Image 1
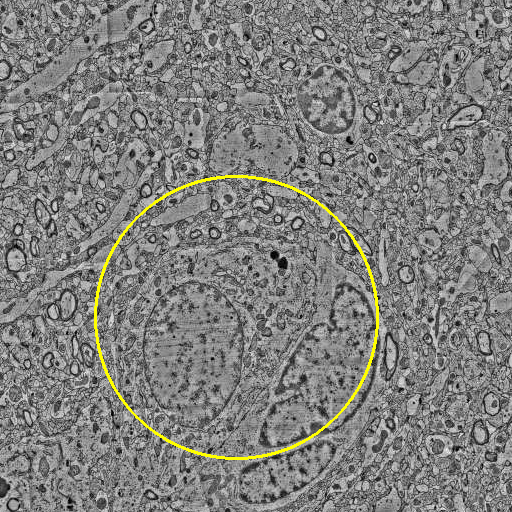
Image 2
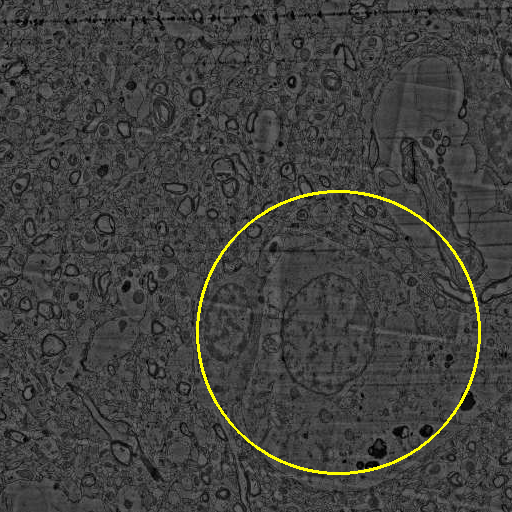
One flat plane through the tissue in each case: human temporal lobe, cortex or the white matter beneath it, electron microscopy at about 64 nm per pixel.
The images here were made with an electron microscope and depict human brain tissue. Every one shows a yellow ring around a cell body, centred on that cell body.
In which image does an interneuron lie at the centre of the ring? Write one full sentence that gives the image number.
My answer is image 1, where the asked-for cell sits at the centre of the ring.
